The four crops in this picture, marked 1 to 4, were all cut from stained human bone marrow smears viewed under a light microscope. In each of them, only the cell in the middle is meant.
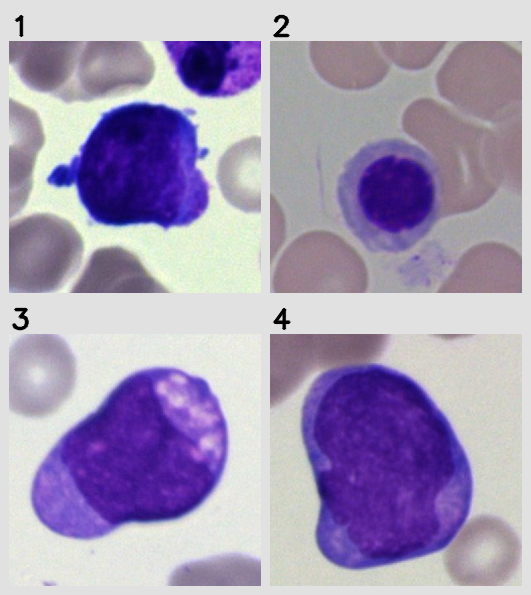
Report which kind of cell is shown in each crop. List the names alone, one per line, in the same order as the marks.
blast
normoblast
blast
blast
